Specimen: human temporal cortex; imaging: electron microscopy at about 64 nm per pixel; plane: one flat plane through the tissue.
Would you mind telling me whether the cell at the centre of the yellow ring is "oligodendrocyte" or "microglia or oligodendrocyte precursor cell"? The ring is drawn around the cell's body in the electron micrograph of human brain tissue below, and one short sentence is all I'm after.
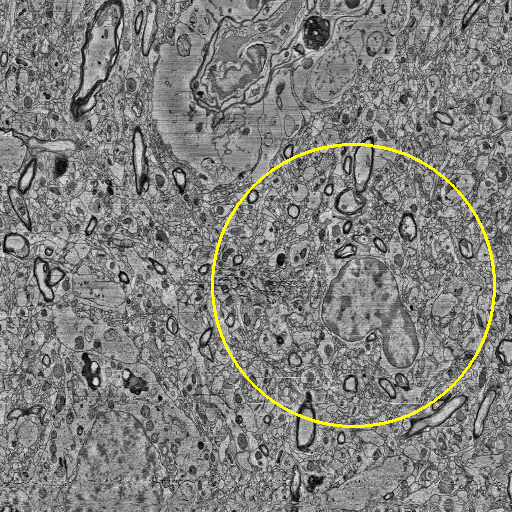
In the centre of the ring lies a microglial cell or oligodendrocyte precursor cell.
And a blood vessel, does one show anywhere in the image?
Yes, a blood vessel can be seen.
